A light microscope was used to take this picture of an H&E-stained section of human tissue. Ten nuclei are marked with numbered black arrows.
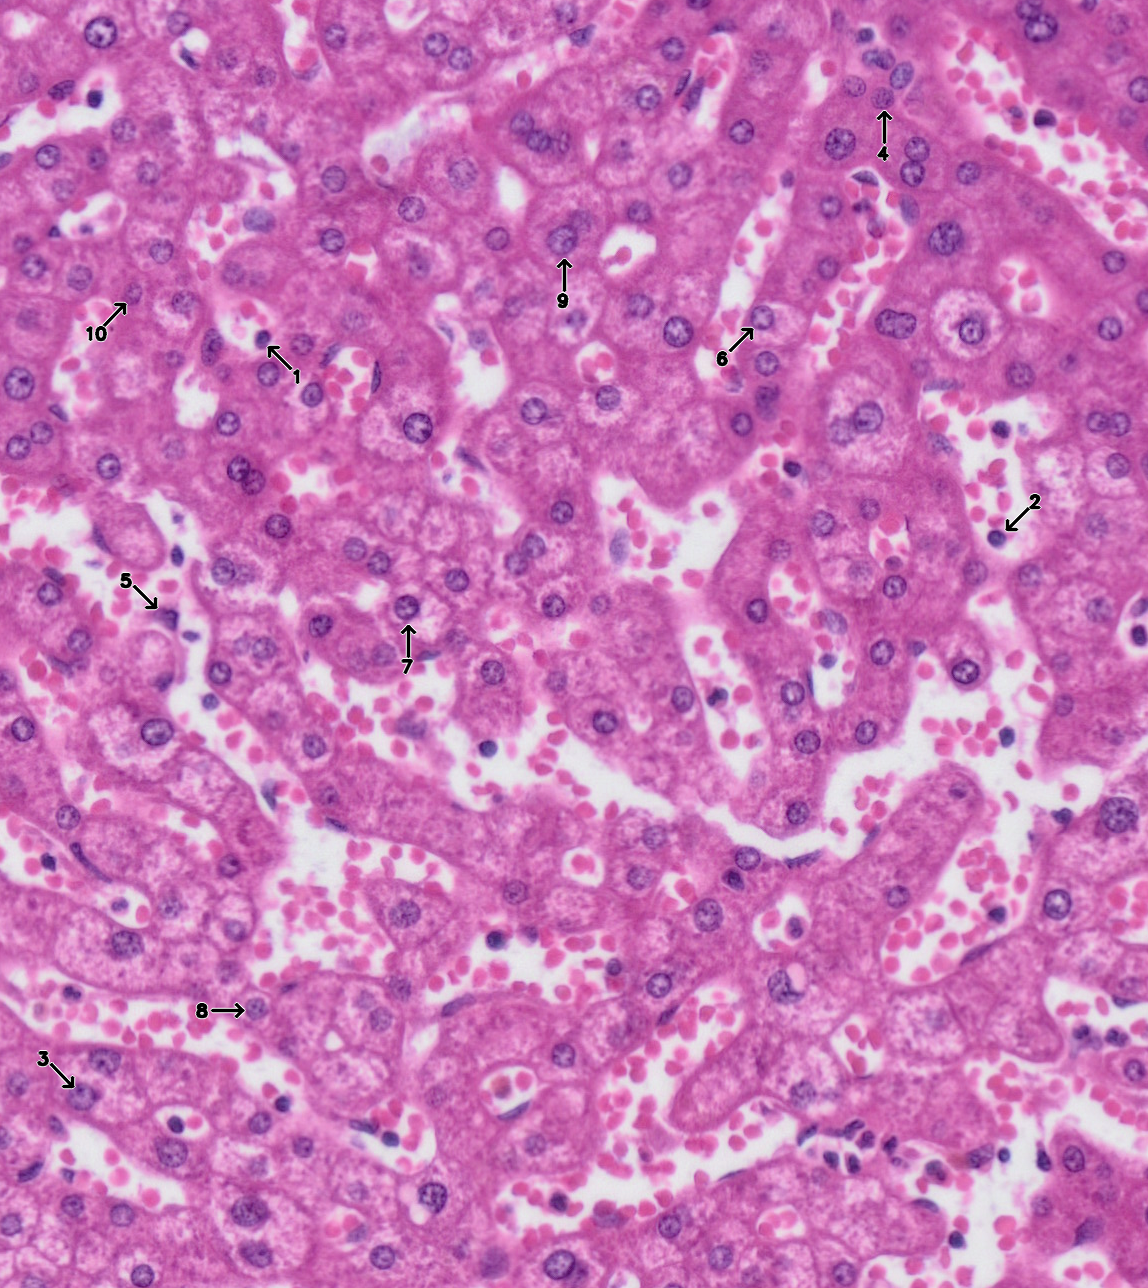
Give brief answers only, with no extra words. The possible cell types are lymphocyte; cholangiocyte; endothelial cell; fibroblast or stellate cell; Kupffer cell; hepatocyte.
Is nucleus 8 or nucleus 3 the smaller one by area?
8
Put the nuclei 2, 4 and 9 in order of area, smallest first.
2, 4, 9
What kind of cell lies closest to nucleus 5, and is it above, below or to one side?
a lymphocyte; below and to the right of nucleus 5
